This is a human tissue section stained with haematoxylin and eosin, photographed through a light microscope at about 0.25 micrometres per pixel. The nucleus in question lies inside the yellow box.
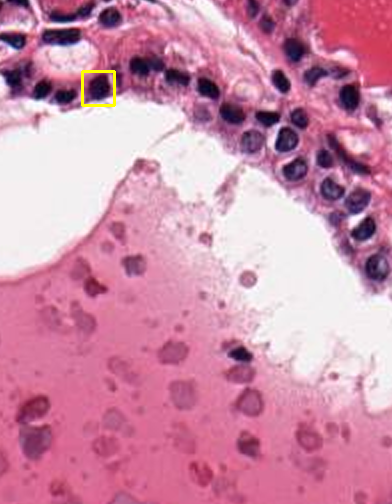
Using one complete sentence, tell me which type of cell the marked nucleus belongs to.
Here the marked nucleus is part of a thyroid follicular cell.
